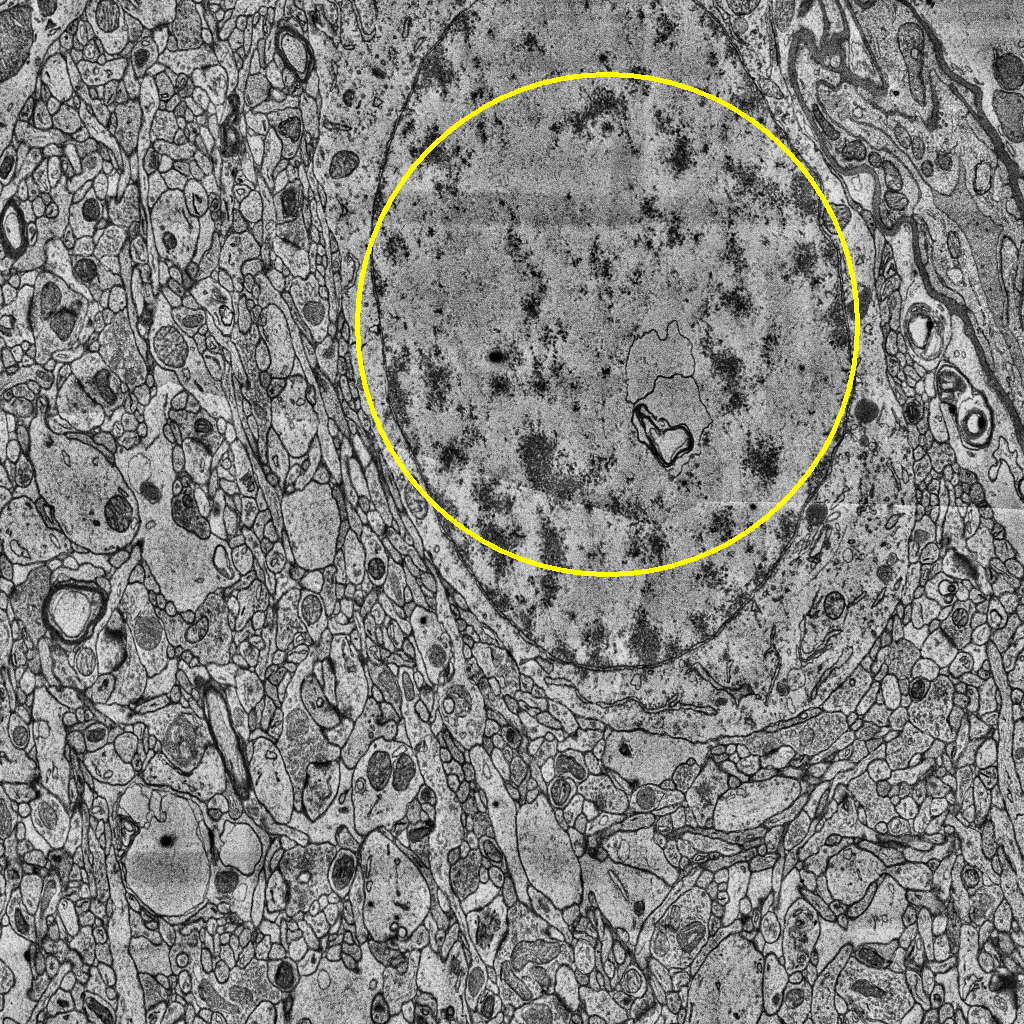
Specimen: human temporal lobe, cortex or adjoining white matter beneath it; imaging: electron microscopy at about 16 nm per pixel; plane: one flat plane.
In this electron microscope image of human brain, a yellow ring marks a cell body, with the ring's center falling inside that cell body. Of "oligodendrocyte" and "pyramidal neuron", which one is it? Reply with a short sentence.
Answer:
It is a pyramidal neuron at the center of the ring.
